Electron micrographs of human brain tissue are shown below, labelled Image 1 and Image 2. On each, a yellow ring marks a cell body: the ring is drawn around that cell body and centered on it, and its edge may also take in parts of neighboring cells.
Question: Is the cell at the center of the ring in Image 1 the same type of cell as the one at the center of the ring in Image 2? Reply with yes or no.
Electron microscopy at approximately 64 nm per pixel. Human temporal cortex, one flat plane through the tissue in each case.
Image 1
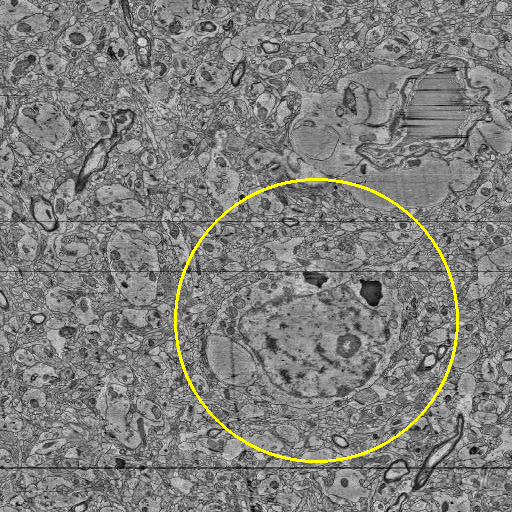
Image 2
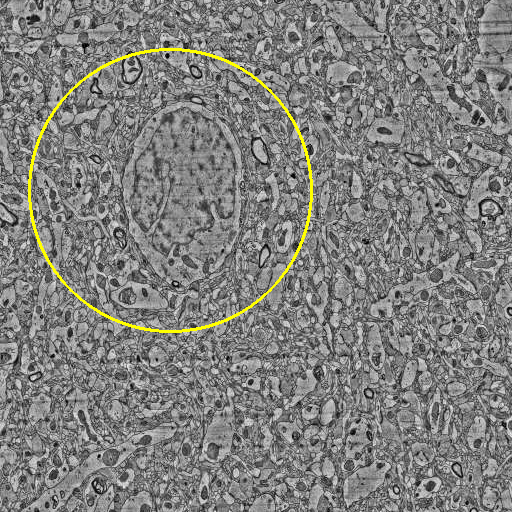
yes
